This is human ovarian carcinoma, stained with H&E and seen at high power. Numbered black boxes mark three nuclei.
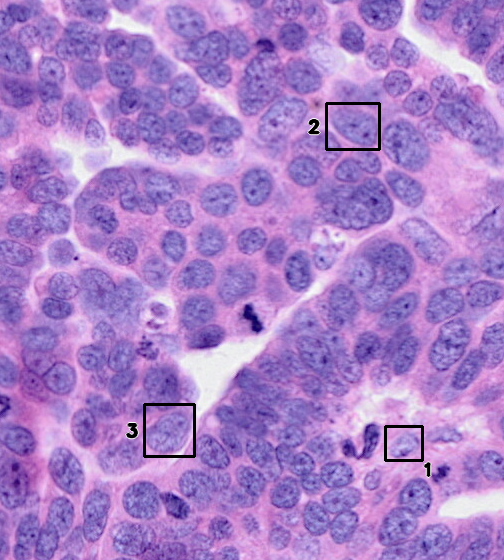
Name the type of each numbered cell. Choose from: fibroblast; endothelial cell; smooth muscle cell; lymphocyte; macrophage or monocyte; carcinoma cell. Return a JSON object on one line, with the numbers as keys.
{"1": "fibroblast", "2": "carcinoma cell", "3": "carcinoma cell"}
